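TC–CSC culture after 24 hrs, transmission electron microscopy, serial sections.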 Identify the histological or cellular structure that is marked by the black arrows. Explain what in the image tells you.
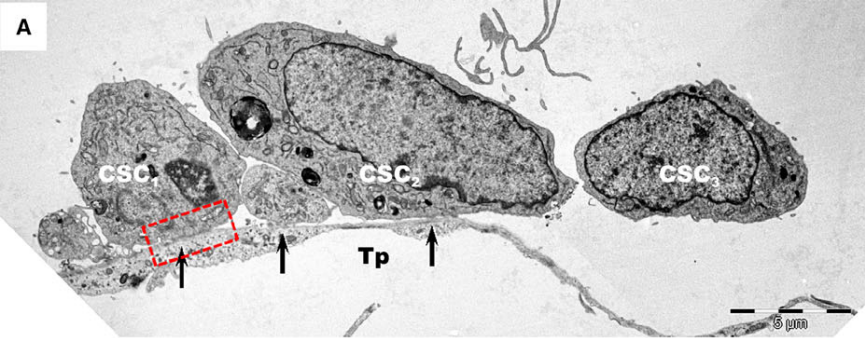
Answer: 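Close contacts. The arrows point to where the undersides of the cells lie against a long, thin cellular extension.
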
